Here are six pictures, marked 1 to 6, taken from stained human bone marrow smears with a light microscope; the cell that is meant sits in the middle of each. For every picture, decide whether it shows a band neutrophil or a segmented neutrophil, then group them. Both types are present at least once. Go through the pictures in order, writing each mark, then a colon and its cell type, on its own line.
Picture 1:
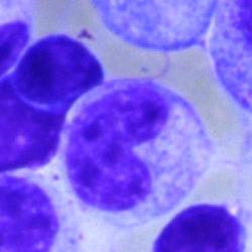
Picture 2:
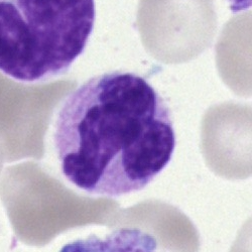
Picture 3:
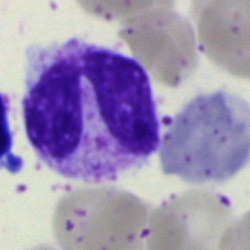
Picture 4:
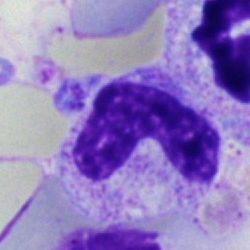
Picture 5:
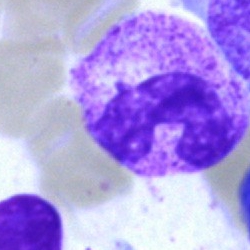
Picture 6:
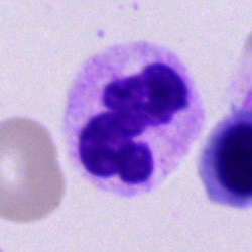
1: band neutrophil
2: band neutrophil
3: segmented neutrophil
4: band neutrophil
5: band neutrophil
6: segmented neutrophil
